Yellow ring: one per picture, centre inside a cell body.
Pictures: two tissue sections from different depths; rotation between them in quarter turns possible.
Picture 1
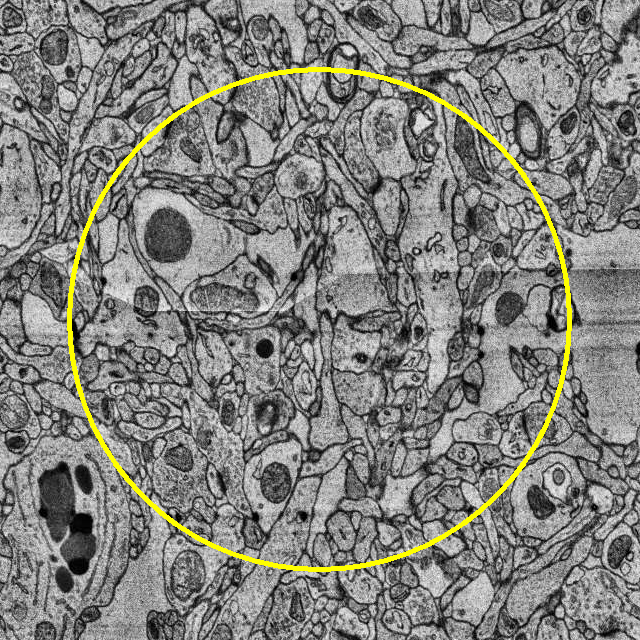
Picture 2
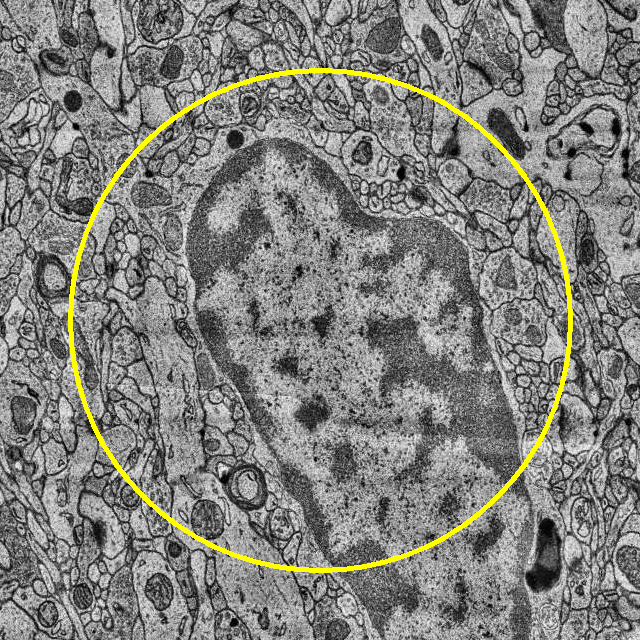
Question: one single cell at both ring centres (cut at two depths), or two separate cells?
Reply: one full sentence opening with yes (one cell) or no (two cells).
Yes, the two rings encircle a single cell, not a pair.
